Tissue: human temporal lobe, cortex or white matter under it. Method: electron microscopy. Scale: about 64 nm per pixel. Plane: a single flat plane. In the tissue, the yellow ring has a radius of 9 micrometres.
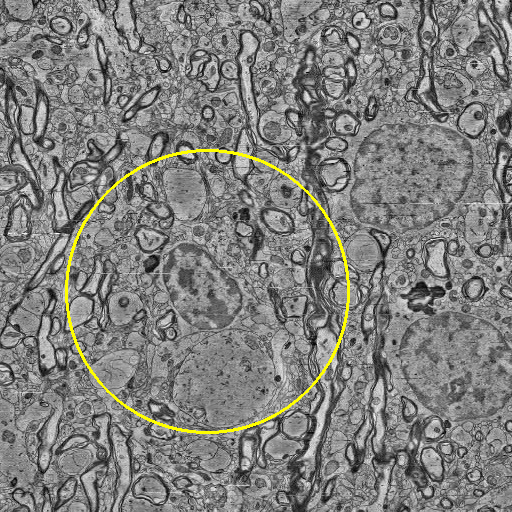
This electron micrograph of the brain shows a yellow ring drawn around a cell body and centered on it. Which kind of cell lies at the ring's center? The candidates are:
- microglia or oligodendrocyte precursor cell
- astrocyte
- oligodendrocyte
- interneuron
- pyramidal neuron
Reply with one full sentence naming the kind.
The cell lying at the ring's center in this micrograph is a microglial cell or oligodendrocyte precursor cell.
